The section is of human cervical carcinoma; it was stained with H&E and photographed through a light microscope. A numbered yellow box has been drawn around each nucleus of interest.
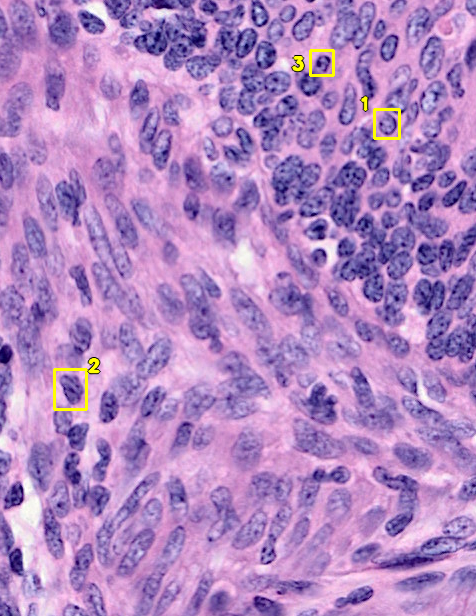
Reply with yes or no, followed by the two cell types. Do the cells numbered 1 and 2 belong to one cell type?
No, cell 1 is a squamous carcinoma cell and cell 2 is a lymphocyte.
